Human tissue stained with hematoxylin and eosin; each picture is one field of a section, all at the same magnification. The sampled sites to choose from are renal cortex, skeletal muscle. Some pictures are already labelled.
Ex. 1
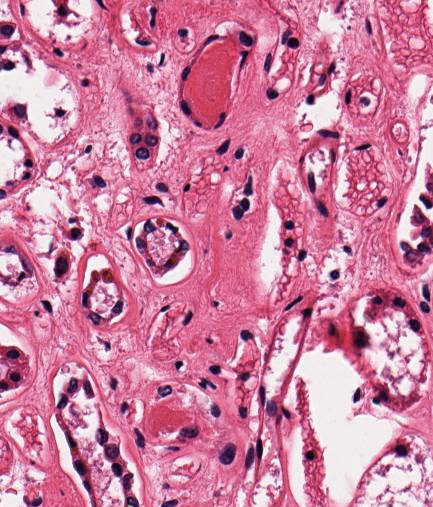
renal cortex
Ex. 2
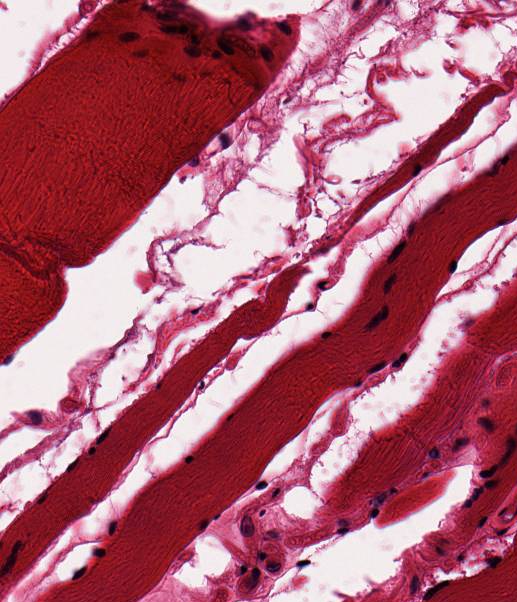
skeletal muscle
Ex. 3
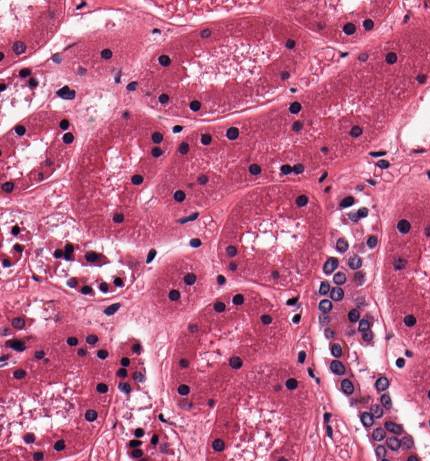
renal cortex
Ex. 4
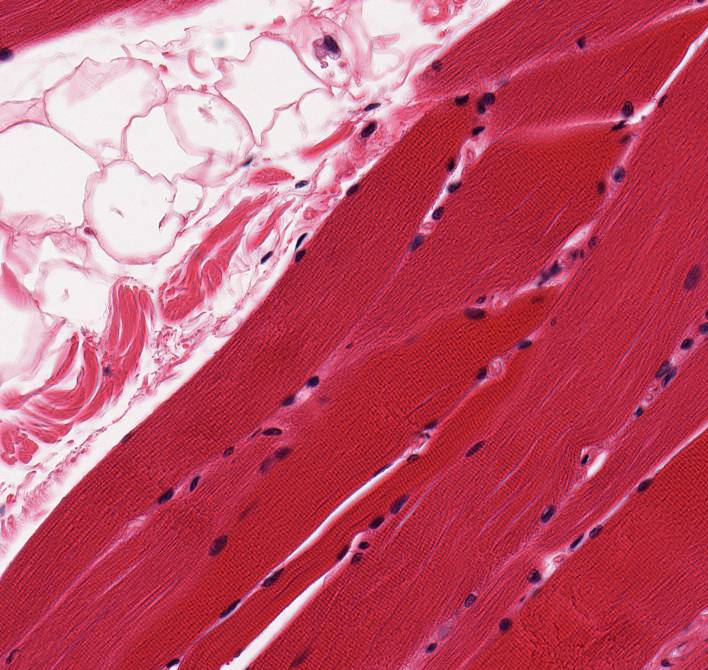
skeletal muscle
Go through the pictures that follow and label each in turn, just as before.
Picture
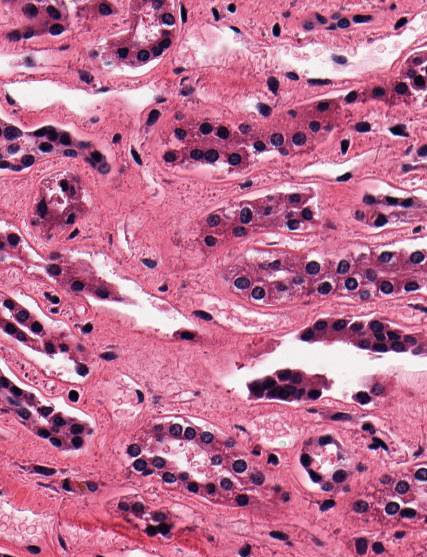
renal cortex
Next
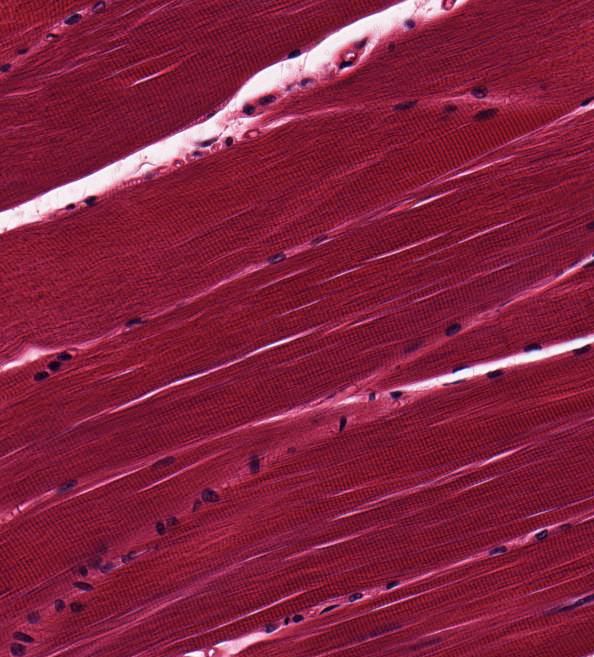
skeletal muscle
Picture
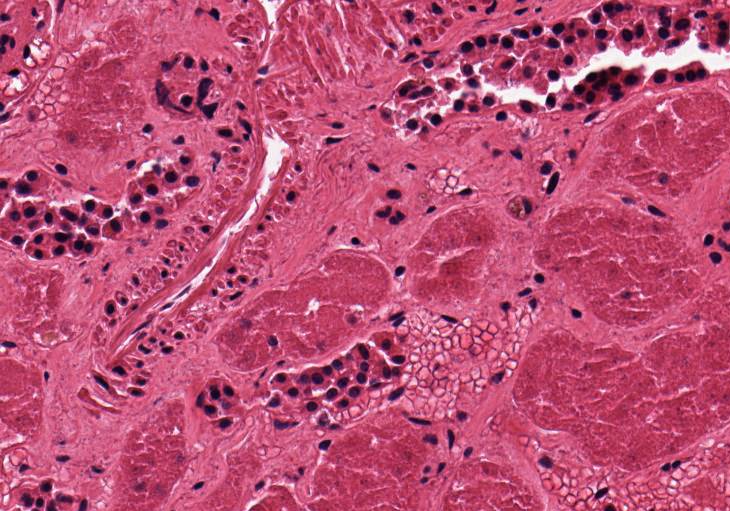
renal cortex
